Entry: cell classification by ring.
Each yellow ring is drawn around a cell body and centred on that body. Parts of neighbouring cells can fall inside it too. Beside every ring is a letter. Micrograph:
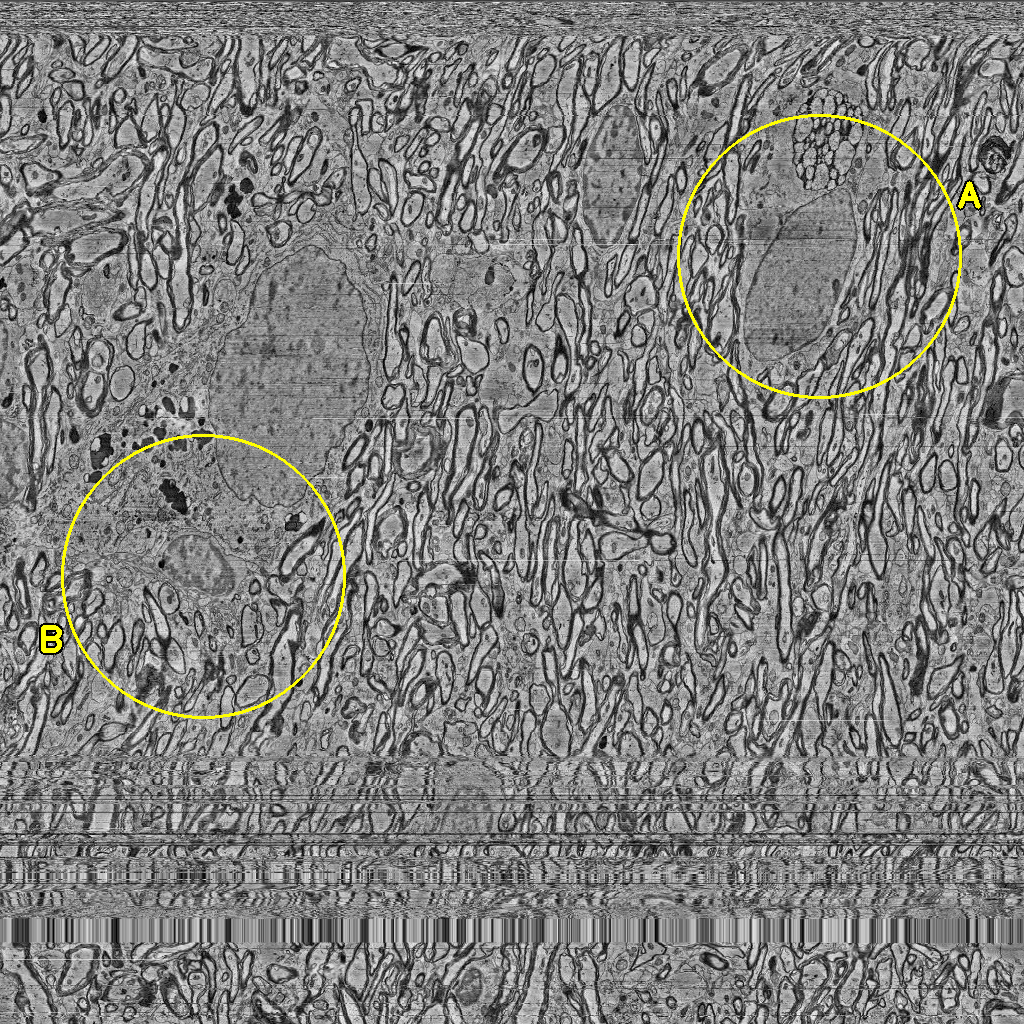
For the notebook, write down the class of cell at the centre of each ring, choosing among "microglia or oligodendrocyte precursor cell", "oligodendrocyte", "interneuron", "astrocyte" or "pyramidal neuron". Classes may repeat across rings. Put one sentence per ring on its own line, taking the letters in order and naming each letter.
Ring A marks an astrocyte.
Ring B marks an oligodendrocyte.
